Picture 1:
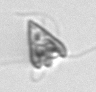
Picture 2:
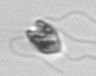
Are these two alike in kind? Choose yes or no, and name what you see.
Yes. Pyramimonas.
